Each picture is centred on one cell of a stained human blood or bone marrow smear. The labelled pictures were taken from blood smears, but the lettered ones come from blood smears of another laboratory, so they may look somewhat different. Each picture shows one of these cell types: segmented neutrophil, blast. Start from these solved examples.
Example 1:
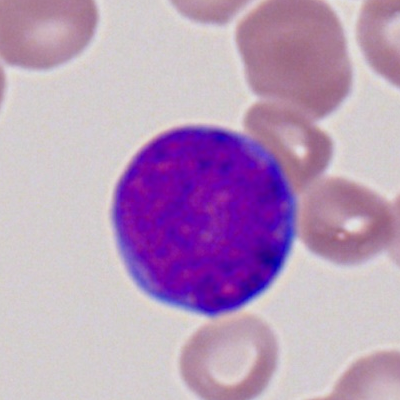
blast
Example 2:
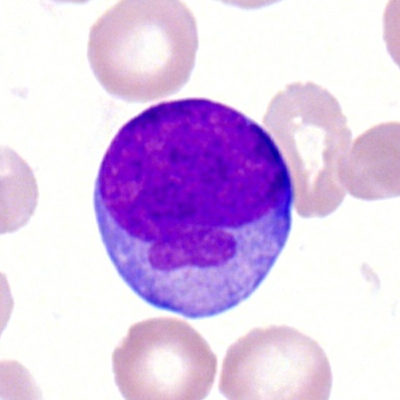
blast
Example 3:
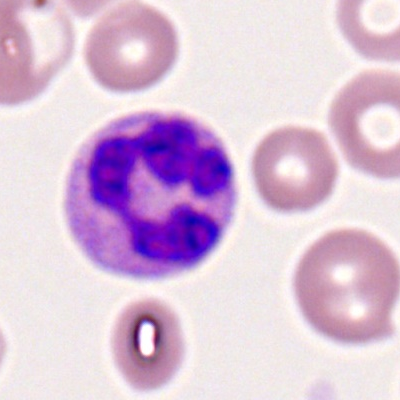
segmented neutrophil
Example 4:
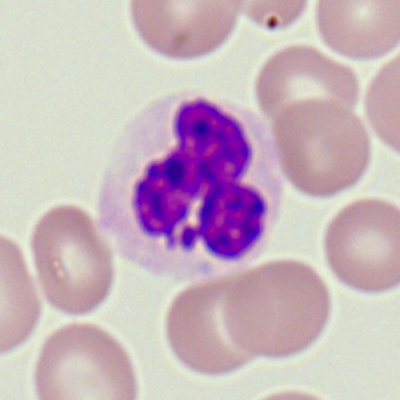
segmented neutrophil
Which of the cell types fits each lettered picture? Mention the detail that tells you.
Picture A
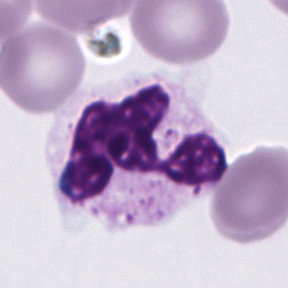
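segmented neutrophil: The cytoplasm is abundant and pale pink.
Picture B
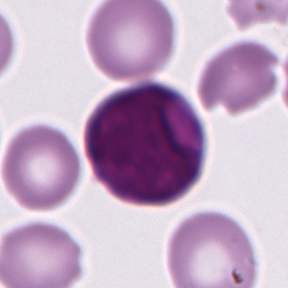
blast: The nucleus fills almost the whole cell.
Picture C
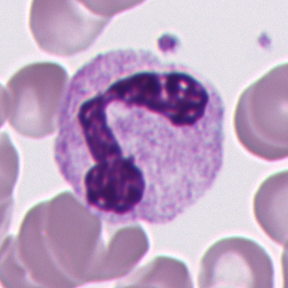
segmented neutrophil: The cytoplasm is abundant and pale pinkish-lilac.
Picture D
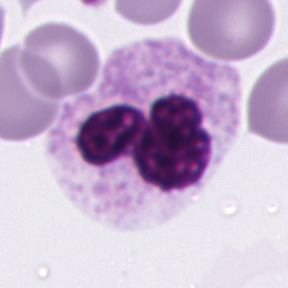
segmented neutrophil: The nucleus is divided into two lobes.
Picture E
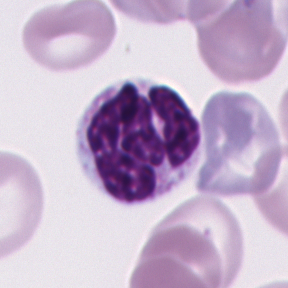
segmented neutrophil: The nucleus is divided into several separate lobes.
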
